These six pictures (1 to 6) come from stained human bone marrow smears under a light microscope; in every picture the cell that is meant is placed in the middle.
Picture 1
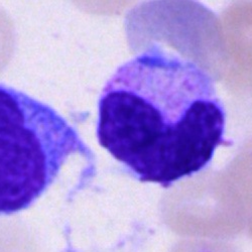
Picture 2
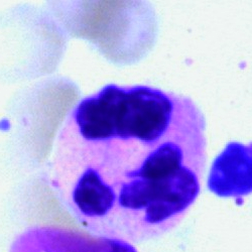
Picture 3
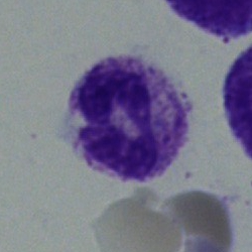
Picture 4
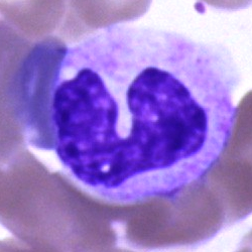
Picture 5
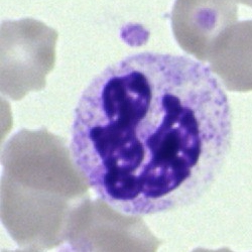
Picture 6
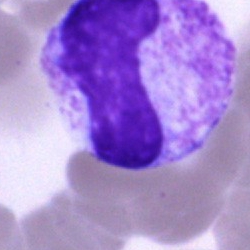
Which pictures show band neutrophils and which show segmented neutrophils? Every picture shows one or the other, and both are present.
1: band neutrophil
2: segmented neutrophil
3: segmented neutrophil
4: band neutrophil
5: segmented neutrophil
6: band neutrophil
